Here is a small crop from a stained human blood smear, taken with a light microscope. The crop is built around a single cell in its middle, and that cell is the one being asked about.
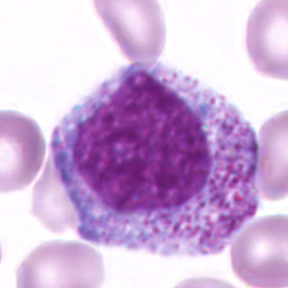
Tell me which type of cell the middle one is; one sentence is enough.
The centered cell in this crop is a promyelocyte.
